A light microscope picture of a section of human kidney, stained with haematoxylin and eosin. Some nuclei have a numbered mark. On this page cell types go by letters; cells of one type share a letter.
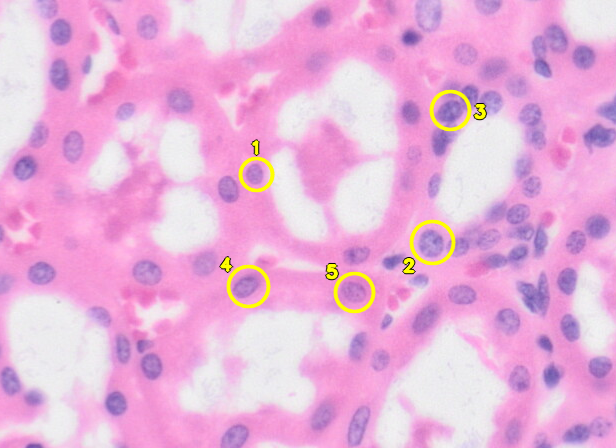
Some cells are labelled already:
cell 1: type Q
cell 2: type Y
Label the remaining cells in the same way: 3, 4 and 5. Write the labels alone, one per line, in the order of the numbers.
type Y
type Q
type Q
